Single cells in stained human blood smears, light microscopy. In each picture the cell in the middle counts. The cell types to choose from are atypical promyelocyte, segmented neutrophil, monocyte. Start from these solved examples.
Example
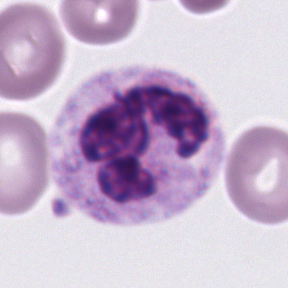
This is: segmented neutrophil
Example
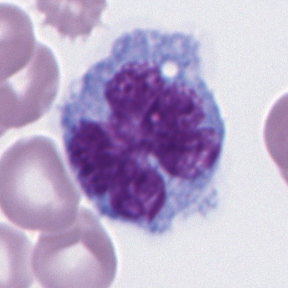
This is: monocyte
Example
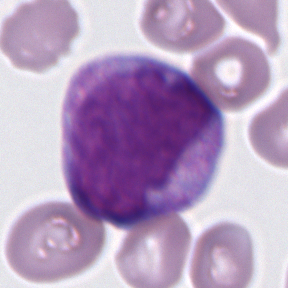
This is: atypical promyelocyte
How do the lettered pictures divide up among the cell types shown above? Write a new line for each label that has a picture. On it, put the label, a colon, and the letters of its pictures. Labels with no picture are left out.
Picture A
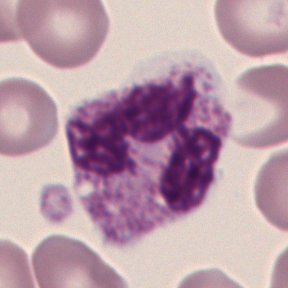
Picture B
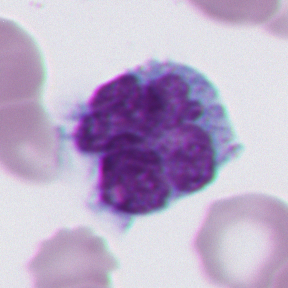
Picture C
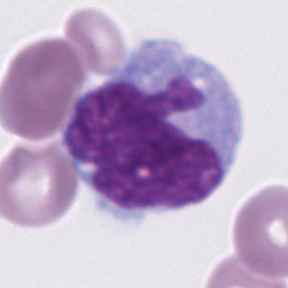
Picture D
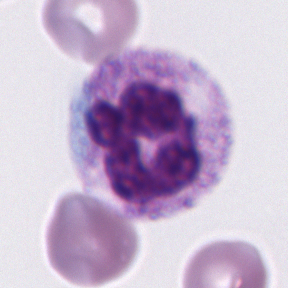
segmented neutrophil: A, D
monocyte: B, C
